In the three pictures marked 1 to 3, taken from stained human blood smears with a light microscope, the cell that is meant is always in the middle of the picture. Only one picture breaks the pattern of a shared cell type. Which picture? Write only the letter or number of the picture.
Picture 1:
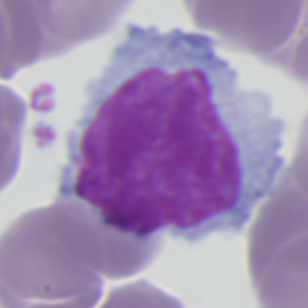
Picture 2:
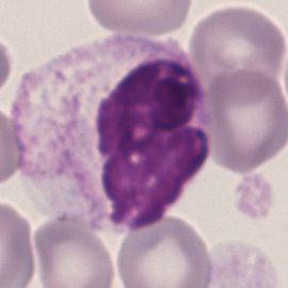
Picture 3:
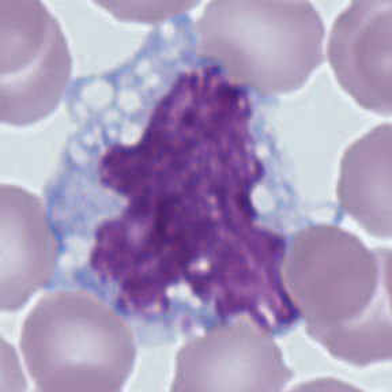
2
